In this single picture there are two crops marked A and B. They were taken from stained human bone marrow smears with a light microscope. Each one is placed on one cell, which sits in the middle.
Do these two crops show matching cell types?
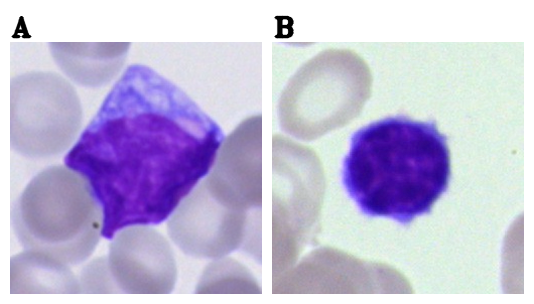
no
